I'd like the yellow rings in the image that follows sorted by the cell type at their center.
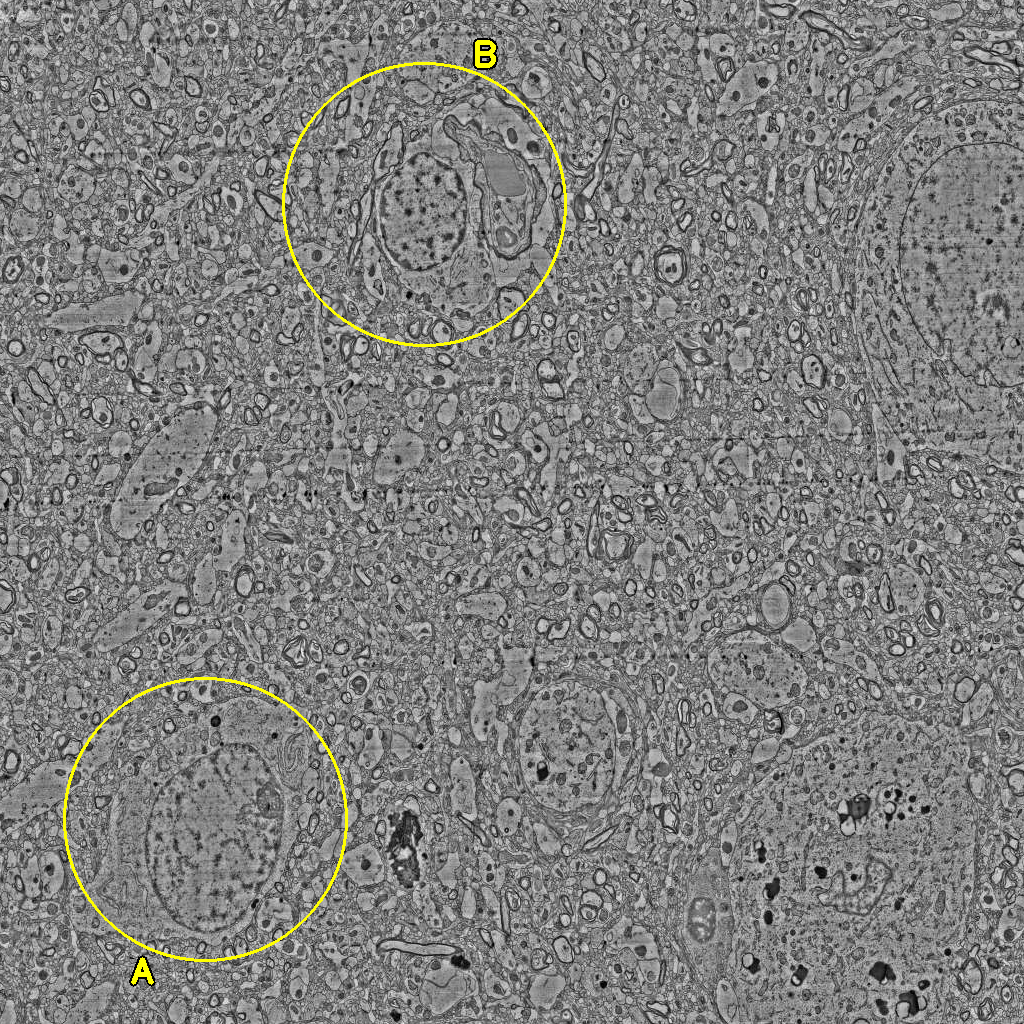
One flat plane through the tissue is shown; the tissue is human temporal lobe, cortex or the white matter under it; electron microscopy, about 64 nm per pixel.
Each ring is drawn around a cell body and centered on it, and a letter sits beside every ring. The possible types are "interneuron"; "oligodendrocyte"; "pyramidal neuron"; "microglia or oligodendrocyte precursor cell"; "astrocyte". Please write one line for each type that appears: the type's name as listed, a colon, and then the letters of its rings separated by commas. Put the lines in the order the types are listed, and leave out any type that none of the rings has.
interneuron: A
microglia or oligodendrocyte precursor cell: B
